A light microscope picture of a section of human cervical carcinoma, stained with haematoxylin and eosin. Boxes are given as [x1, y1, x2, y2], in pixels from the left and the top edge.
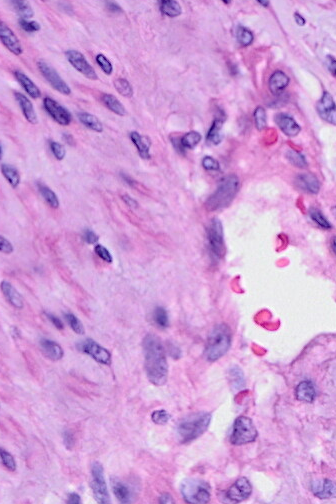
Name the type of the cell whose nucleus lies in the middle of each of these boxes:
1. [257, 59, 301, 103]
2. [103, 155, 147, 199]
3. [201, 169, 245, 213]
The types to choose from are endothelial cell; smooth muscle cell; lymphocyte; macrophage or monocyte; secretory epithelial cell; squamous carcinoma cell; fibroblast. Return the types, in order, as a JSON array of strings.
["endothelial cell", "smooth muscle cell", "endothelial cell"]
